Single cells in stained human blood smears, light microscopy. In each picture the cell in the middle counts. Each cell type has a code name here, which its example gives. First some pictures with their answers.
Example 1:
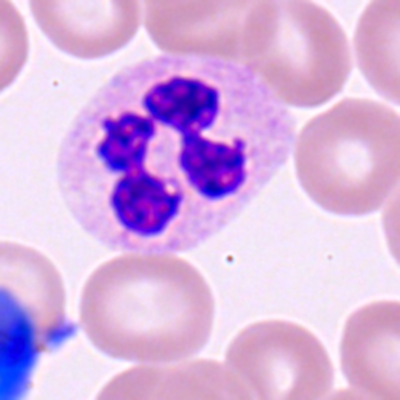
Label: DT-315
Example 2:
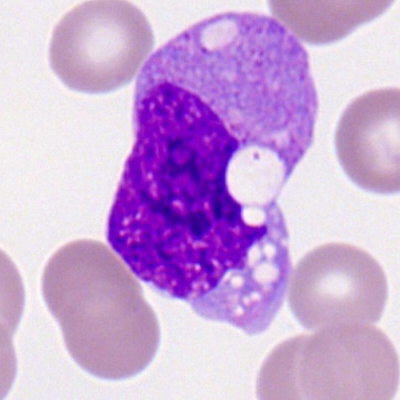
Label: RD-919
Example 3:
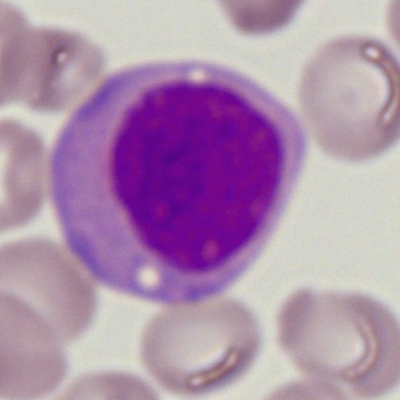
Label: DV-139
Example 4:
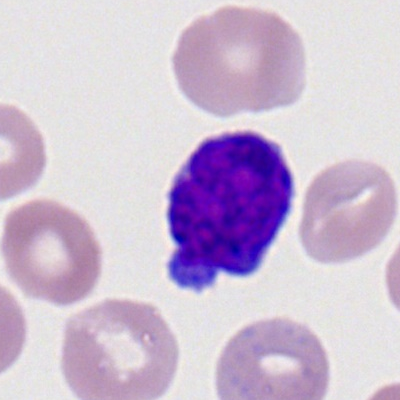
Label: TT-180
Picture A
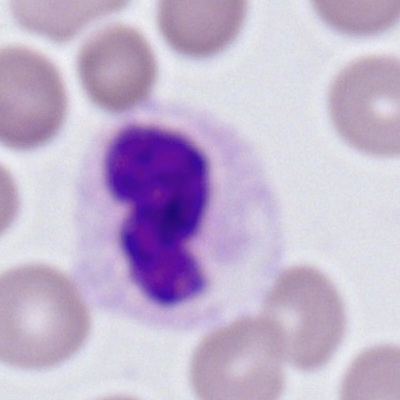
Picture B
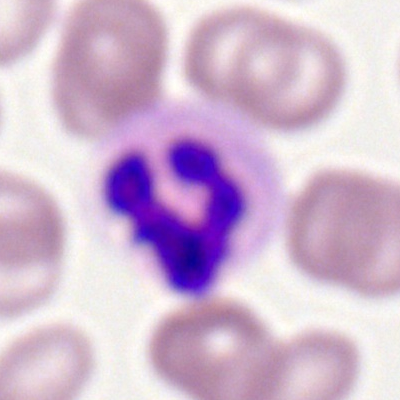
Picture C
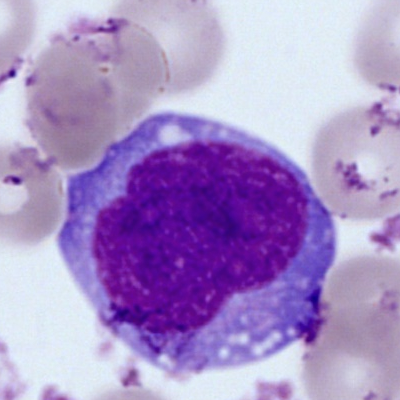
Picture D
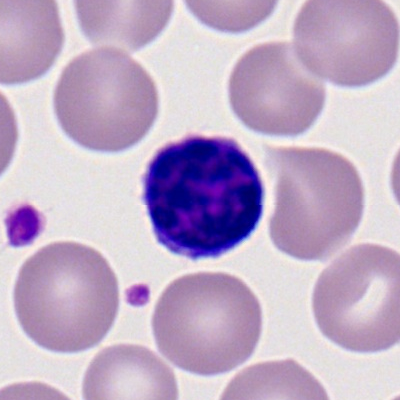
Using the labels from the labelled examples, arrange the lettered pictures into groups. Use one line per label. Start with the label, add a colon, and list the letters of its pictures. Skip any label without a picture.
DT-315: A, B
DV-139: C
TT-180: D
